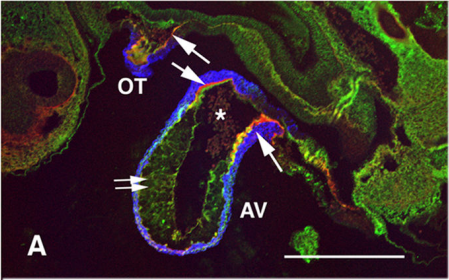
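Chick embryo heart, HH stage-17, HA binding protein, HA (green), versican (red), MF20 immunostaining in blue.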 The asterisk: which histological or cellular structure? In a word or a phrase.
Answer: blood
